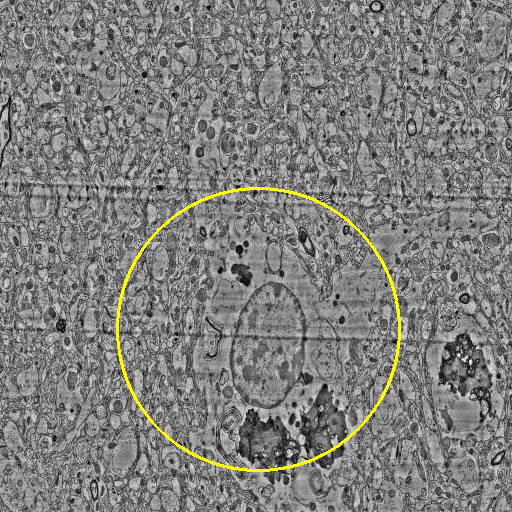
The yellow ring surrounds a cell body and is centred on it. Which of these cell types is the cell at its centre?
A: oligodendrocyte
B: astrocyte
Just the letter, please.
B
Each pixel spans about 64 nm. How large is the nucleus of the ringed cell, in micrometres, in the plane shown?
About 8 by 5 micrometers in this plane, so the nucleus is clearly longer than it is wide.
